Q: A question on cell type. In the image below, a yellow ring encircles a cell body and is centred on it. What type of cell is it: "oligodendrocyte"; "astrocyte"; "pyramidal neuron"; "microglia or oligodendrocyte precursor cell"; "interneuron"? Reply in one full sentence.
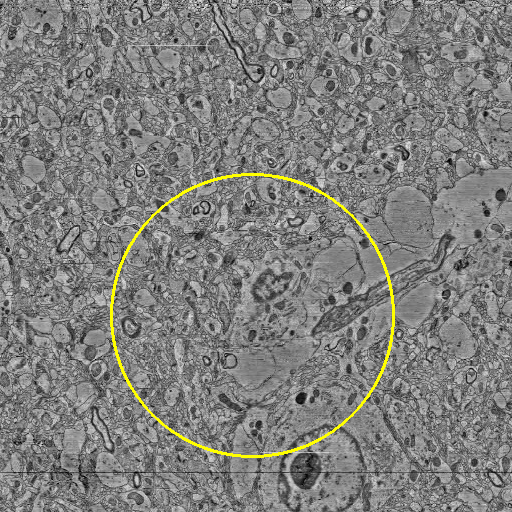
It is a microglial cell or oligodendrocyte precursor cell whose cell body sits at the centre of the yellow ring in the image.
